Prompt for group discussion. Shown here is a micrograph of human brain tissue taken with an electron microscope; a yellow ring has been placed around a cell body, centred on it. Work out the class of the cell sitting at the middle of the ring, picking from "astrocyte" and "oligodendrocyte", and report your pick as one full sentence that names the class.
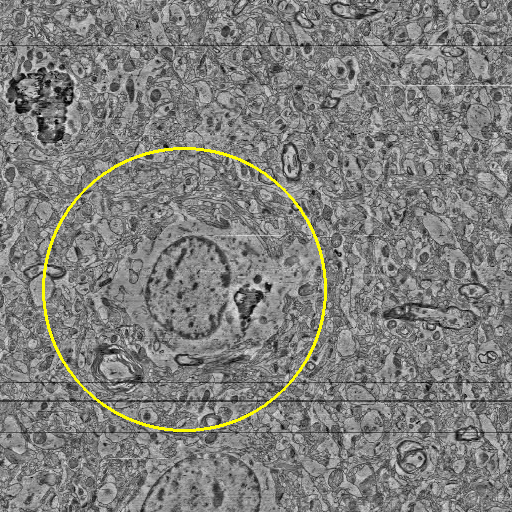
The cell sitting at the middle of the yellow ring is an astrocyte.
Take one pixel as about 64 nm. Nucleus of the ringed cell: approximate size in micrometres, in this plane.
About 7 by 5 micrometers, in this plane.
